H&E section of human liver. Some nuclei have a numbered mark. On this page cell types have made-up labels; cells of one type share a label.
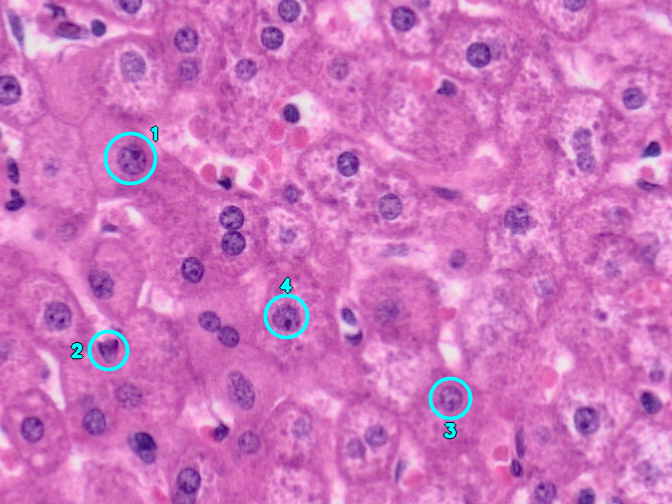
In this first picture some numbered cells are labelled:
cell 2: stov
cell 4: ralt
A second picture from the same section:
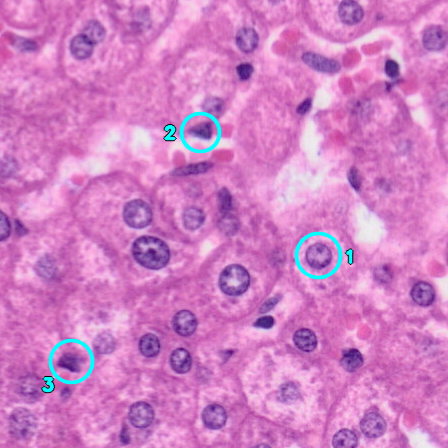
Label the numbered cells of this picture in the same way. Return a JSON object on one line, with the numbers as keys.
{"1": "ralt", "2": "stov", "3": "stov"}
